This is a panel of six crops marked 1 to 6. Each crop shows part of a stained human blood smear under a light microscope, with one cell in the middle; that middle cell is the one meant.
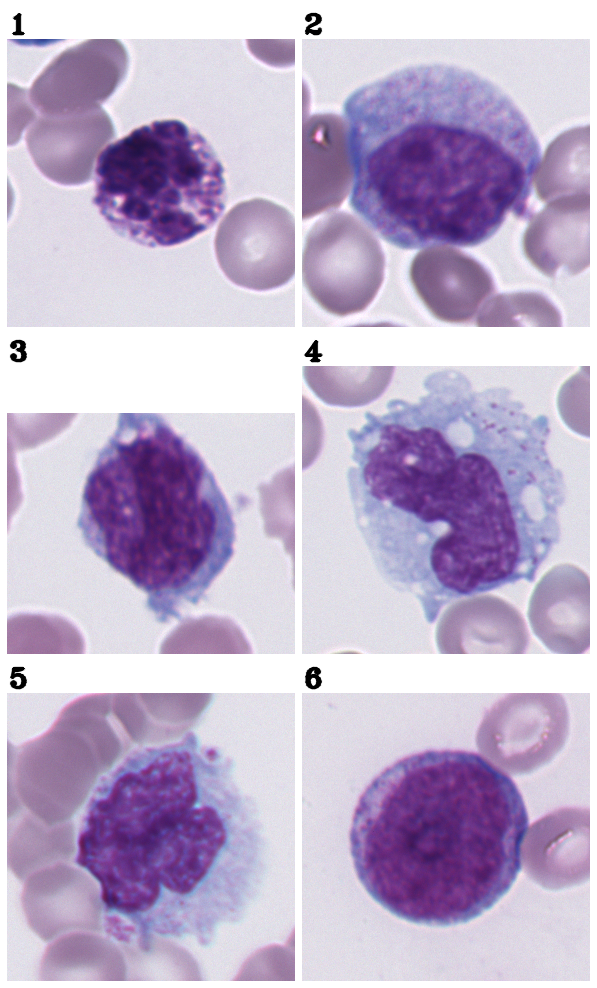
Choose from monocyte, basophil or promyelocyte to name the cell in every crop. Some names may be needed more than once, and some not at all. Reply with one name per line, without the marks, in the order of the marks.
basophil
promyelocyte
monocyte
monocyte
monocyte
promyelocyte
